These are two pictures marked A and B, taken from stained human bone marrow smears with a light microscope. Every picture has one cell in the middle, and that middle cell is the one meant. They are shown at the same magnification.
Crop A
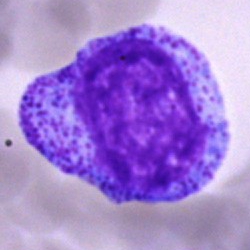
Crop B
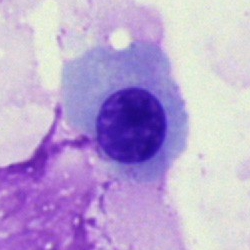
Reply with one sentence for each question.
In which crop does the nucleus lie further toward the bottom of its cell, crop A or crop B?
It is the nucleus in crop B that lies further toward the bottom of its cell.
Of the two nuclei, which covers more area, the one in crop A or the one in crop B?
Larger is the nucleus in crop A, at roughly 4 times the area of the other.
